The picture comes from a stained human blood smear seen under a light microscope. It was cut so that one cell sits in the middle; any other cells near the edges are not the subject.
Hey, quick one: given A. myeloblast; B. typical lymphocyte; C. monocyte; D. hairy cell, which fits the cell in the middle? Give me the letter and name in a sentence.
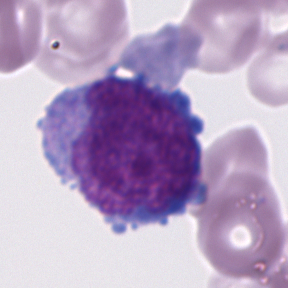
In this crop the middle cell is a myeloblast, so option A is the correct answer.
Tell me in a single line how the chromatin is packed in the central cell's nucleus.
The chromatin shows a fine pattern without coarse clumps.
